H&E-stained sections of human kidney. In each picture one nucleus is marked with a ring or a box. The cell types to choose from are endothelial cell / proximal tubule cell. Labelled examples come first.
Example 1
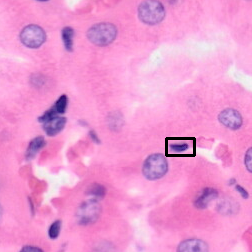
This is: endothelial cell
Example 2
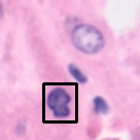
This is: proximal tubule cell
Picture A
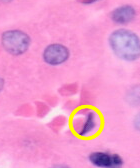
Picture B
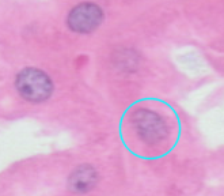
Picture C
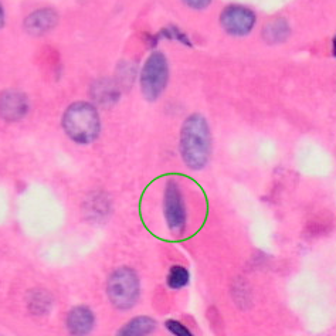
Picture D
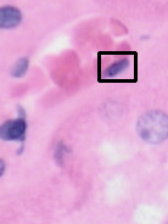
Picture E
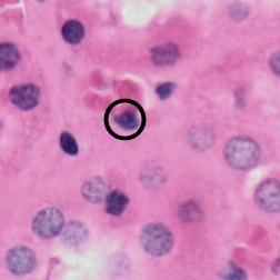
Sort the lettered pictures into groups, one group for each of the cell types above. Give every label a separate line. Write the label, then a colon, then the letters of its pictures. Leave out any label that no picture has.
endothelial cell: A, C, D, E
proximal tubule cell: B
